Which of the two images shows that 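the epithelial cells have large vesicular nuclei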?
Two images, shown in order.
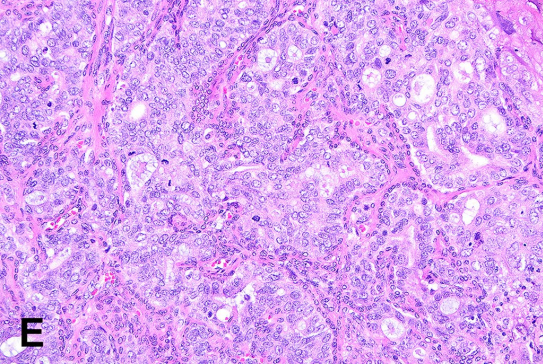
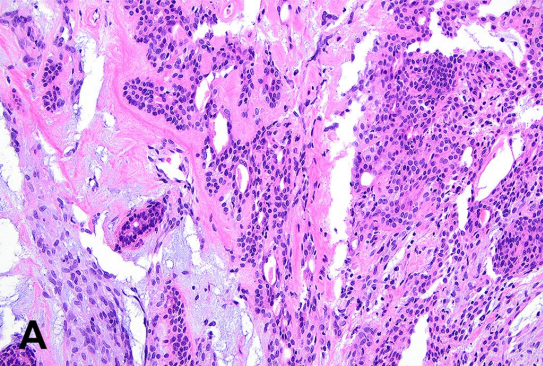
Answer: the first image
